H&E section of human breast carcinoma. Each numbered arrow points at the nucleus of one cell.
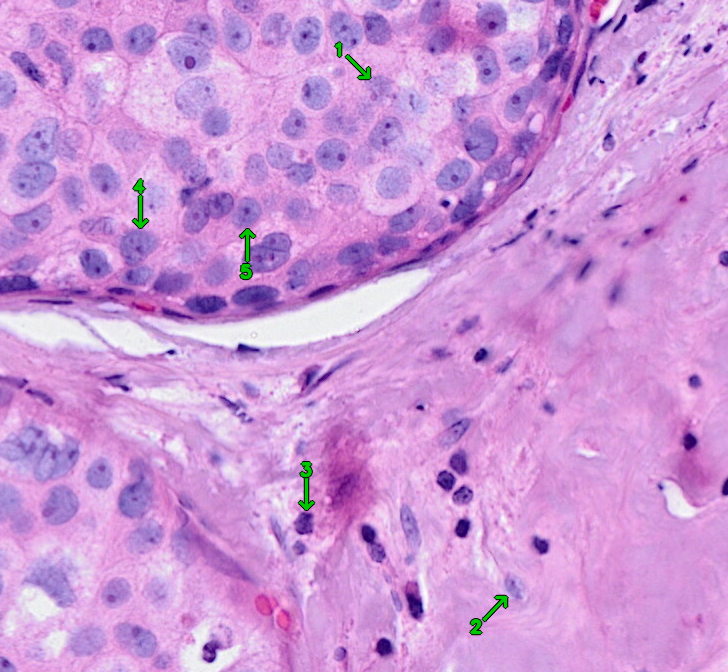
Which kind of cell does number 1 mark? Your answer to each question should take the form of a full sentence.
In this section, number 1 marks a carcinoma cell.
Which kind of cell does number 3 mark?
The cell numbered 3 represents a lymphocyte.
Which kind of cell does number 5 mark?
Number 5 is placed on a carcinoma cell here.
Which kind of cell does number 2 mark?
The numbered cell 2 in this field is a fibroblast.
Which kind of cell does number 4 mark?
Cell 4, as marked in the section, is a carcinoma cell.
